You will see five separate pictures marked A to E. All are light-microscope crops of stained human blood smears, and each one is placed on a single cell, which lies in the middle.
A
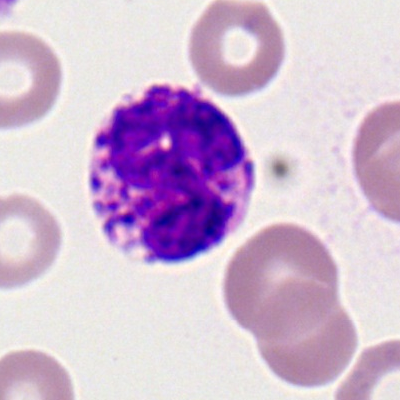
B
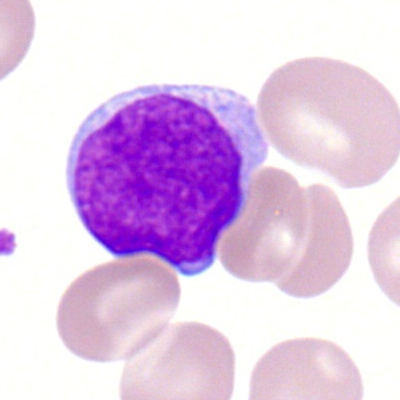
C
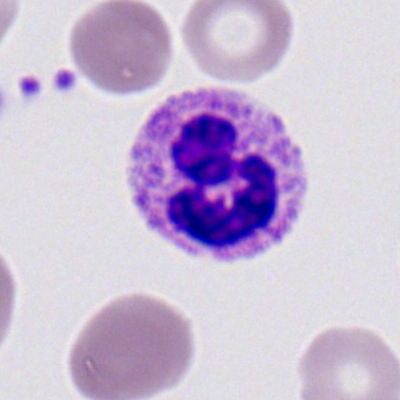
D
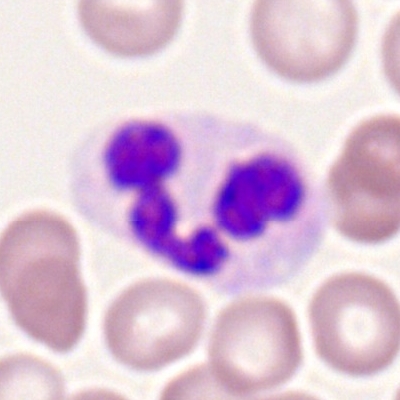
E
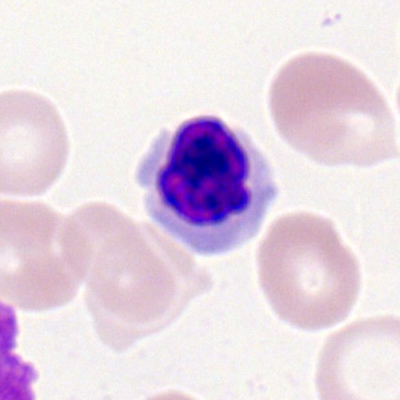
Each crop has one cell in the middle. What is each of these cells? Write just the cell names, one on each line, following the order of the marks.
basophil
myeloblast
segmented neutrophil
segmented neutrophil
erythroblast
